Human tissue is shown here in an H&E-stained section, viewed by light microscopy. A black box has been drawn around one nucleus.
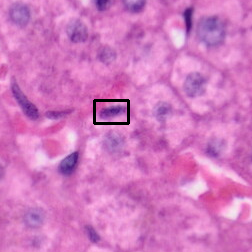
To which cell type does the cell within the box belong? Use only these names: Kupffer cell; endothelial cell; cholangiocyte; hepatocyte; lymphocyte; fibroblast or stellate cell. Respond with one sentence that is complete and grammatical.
Just put down that the cell within the box is an endothelial cell.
